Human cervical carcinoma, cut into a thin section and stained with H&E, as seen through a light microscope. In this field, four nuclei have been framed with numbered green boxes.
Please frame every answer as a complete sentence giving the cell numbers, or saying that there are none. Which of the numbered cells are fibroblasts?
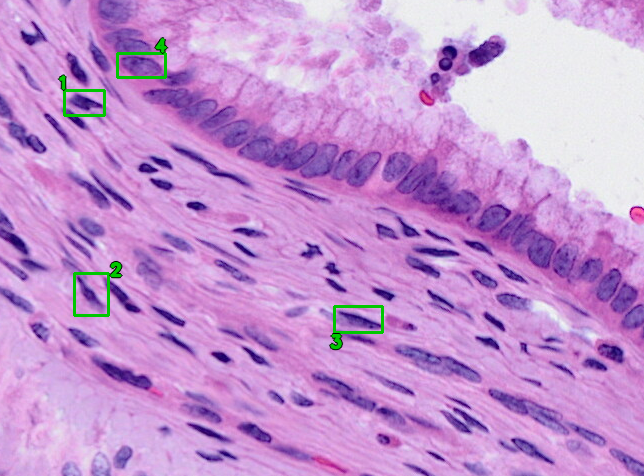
Identification: the cells with numbers 1, 2 and 3 are fibroblasts.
